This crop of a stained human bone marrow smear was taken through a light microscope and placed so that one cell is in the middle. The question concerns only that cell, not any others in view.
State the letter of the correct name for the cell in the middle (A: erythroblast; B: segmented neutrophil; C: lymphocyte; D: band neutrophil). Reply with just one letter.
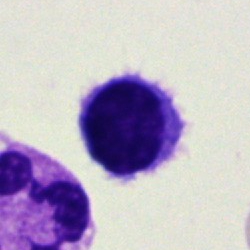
C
